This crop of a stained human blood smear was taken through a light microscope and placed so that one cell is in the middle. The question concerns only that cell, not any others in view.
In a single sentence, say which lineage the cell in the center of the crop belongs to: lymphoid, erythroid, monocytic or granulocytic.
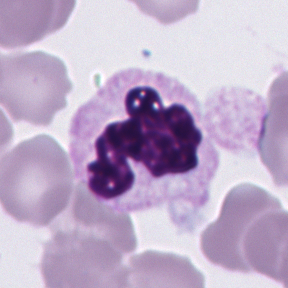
The cell in the center of the crop is counted in the granulocytic lineage.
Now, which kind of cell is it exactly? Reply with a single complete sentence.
As for the central cell, it is a segmented neutrophil.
